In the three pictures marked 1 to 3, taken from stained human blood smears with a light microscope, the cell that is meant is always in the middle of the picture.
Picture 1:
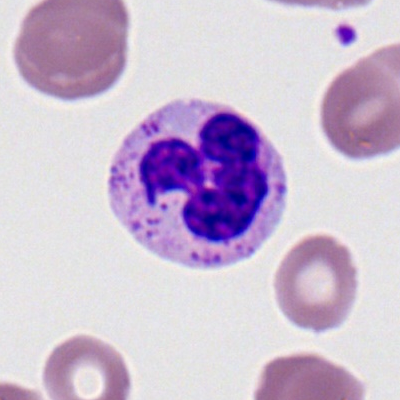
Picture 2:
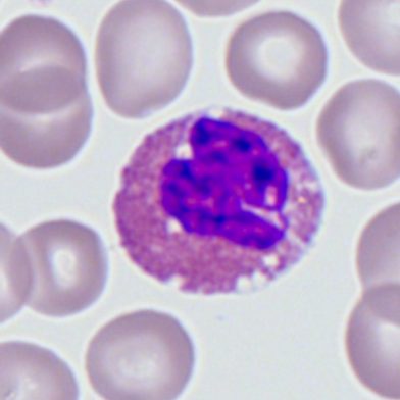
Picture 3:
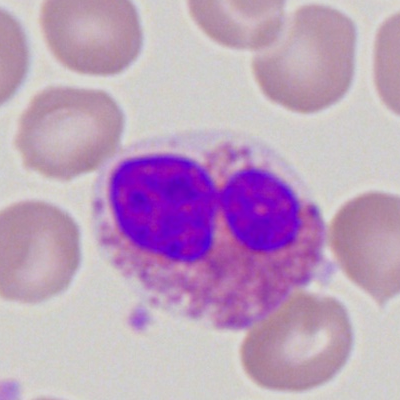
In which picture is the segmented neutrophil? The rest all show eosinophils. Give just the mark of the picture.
1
